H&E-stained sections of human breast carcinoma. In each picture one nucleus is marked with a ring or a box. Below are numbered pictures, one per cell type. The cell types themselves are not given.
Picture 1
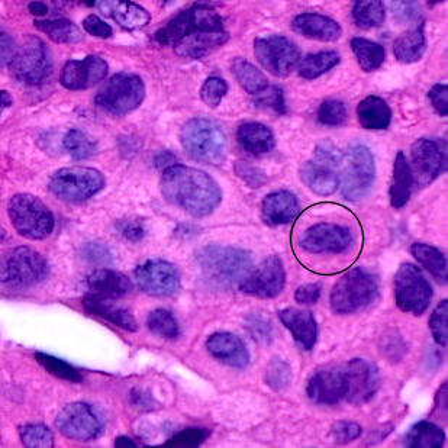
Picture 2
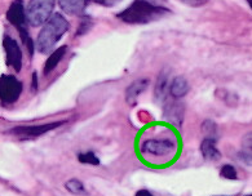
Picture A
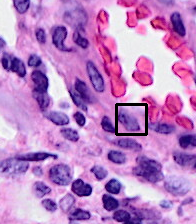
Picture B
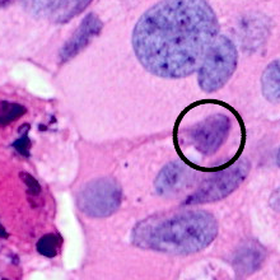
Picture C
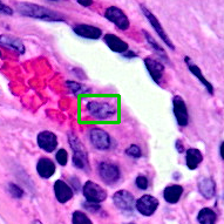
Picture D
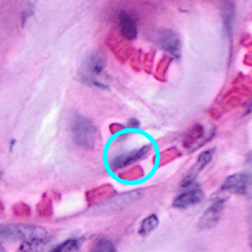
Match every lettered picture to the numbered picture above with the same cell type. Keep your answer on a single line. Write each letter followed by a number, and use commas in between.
A 2, B 1, C 2, D 2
